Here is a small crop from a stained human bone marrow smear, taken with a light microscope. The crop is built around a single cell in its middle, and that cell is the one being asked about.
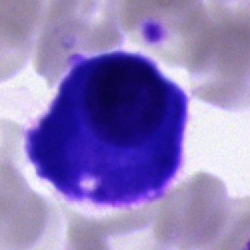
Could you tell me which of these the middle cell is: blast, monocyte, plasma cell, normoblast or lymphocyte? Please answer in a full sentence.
The central cell in this smear crop is a plasma cell.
